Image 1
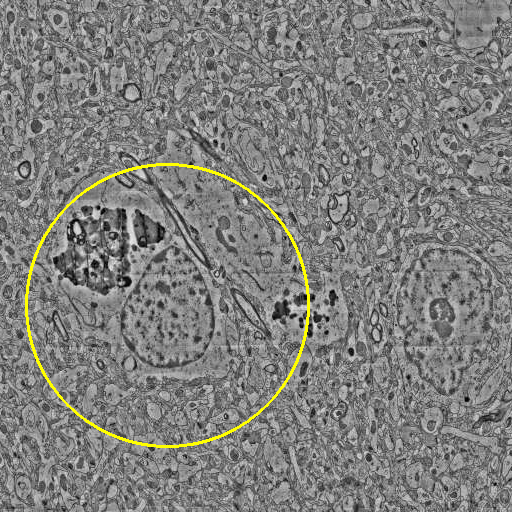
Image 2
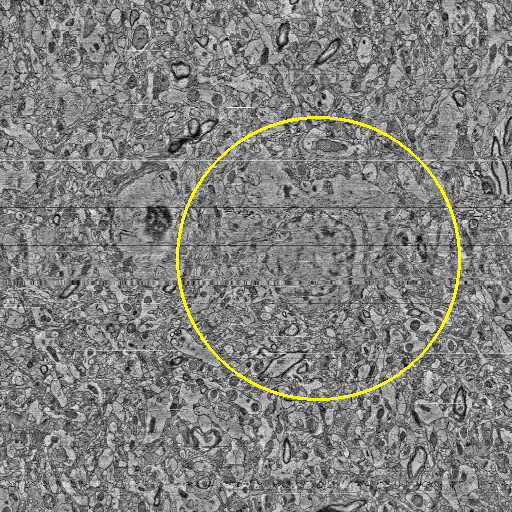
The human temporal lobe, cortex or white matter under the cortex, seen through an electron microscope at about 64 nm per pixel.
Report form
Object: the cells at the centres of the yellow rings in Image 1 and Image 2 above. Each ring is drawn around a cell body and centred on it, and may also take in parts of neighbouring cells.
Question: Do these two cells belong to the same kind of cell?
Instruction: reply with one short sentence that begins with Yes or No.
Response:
No, they belong to two kinds of cell.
